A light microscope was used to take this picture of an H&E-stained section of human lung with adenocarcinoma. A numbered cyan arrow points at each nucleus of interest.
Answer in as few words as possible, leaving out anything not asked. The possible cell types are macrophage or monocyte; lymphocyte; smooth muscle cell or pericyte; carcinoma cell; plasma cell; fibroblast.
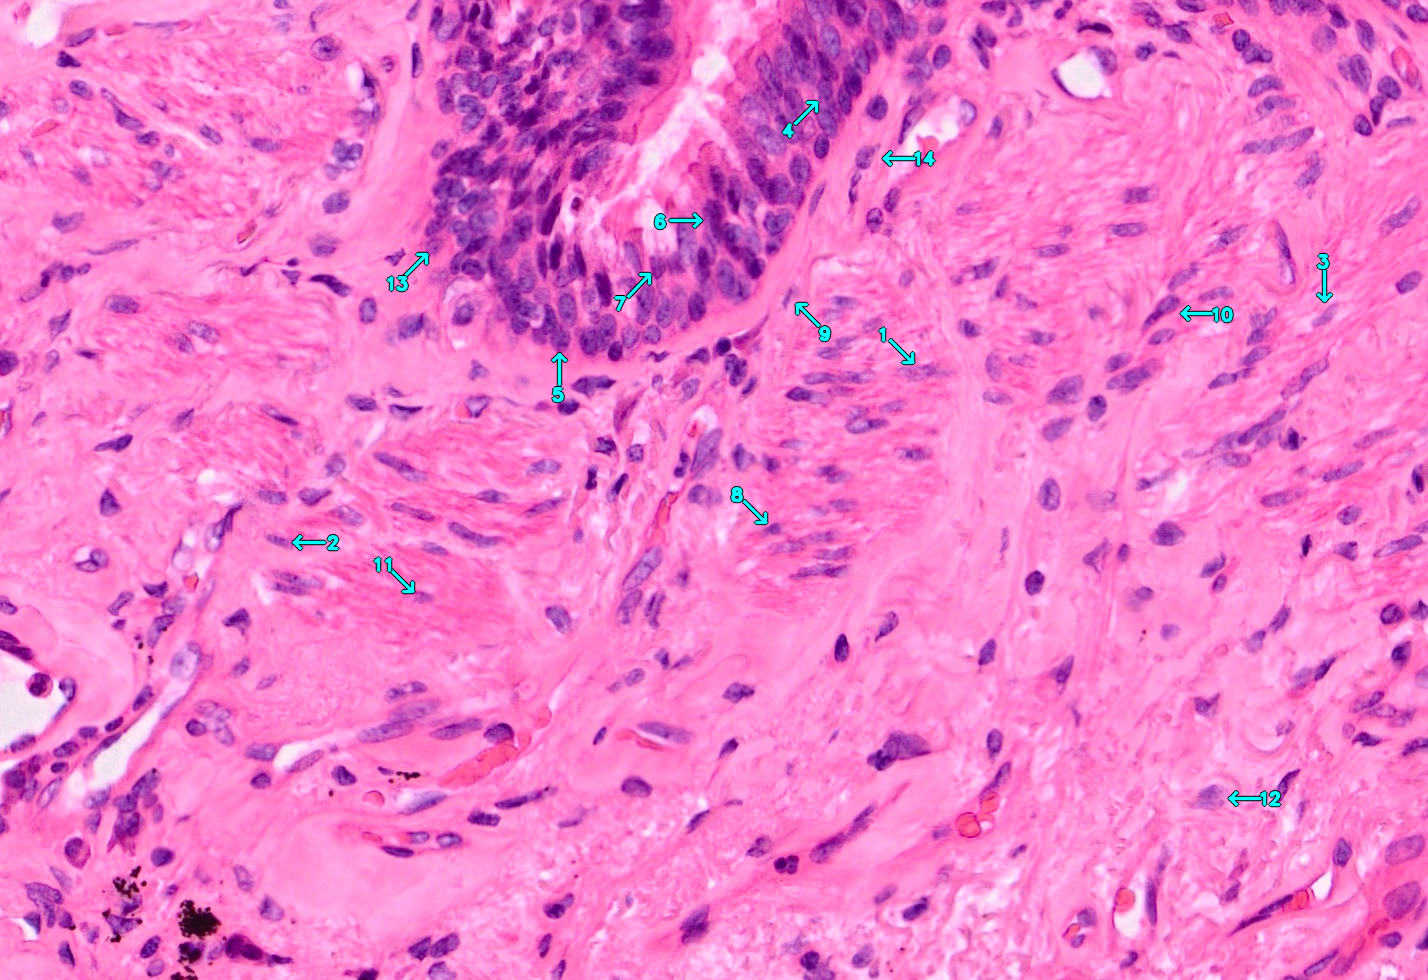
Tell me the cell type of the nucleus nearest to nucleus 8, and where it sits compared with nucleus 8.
a smooth muscle cell or pericyte, below and to the right of nucleus 8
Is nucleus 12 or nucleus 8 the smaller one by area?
8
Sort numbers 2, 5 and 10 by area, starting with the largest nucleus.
10, 5, 2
